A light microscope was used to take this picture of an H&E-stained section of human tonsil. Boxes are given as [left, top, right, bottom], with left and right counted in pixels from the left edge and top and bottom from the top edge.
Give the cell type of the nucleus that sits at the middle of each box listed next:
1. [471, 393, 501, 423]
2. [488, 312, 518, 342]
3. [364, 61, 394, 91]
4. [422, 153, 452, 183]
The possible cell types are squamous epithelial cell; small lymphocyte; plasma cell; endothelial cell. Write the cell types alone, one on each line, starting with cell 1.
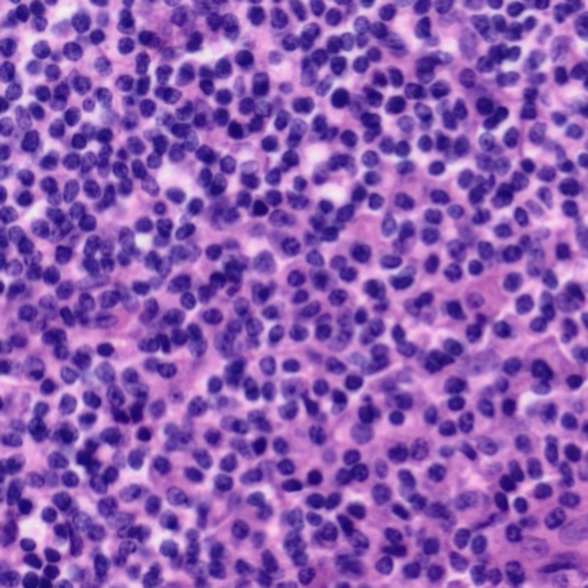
plasma cell
plasma cell
small lymphocyte
small lymphocyte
